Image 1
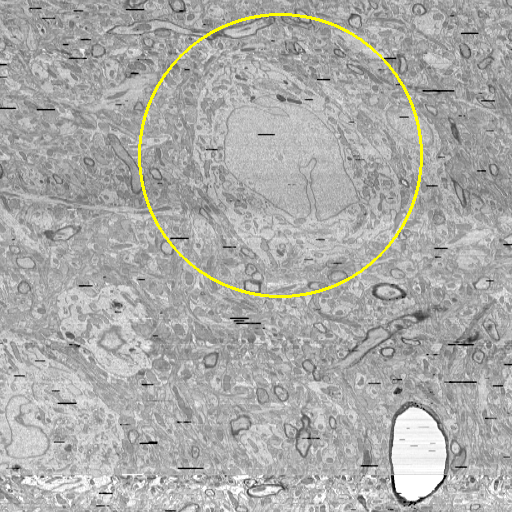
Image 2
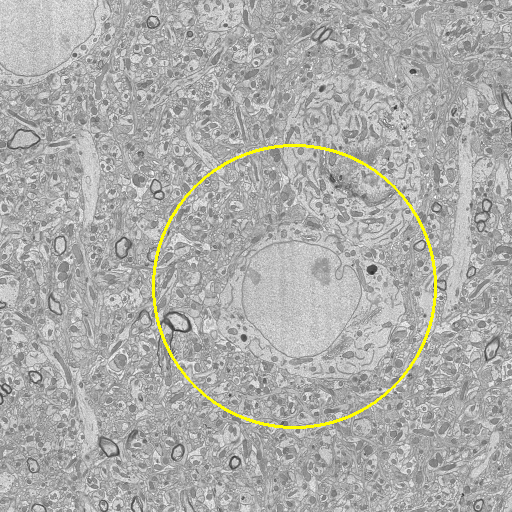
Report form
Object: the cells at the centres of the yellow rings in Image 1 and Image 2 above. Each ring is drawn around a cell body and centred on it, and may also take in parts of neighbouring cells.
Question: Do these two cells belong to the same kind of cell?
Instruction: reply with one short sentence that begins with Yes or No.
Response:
No, they belong to two kinds of cell.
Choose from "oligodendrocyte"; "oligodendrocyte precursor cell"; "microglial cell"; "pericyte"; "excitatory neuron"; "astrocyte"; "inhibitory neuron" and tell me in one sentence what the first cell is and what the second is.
What the first ring is centred on is an inhibitory neuron; what the second ring is centred on is an excitatory neuron.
